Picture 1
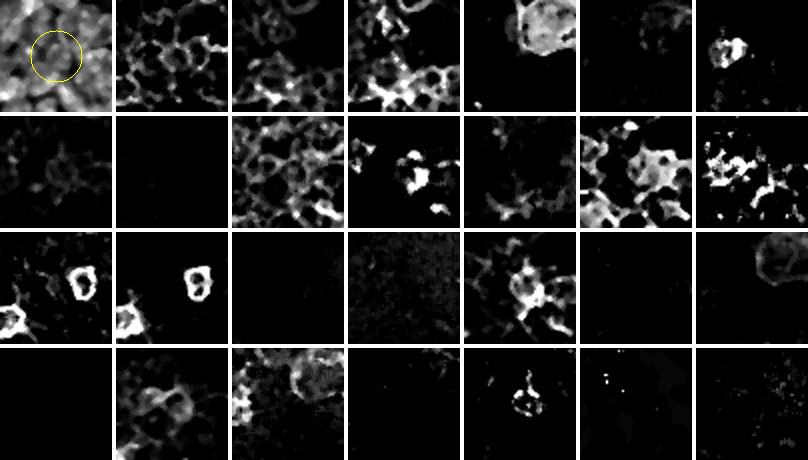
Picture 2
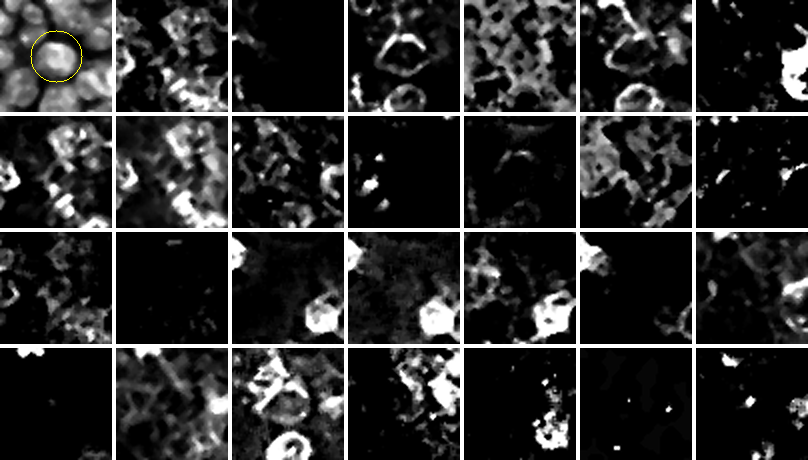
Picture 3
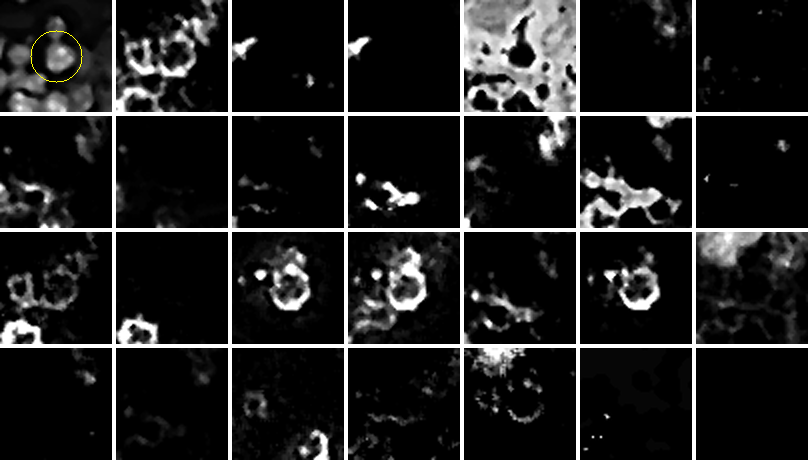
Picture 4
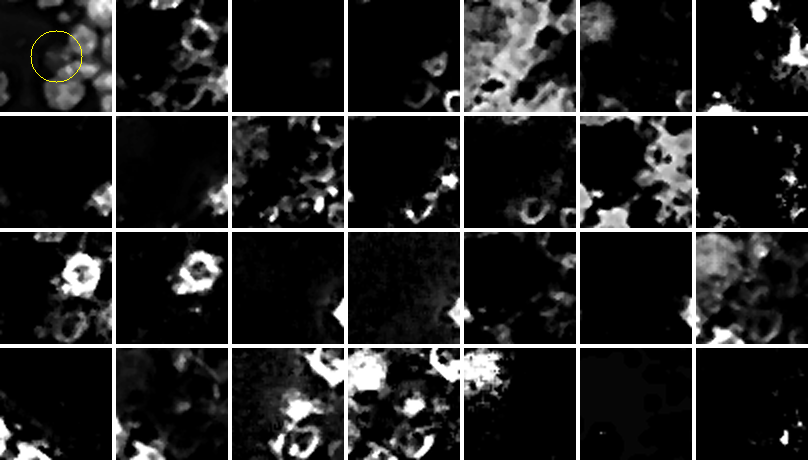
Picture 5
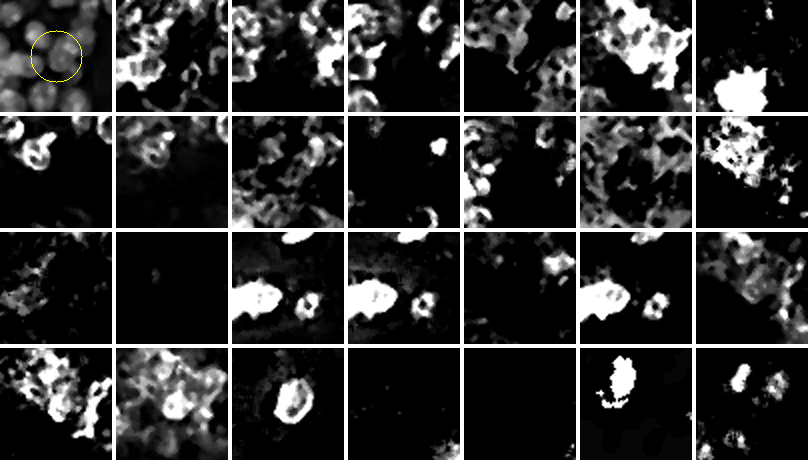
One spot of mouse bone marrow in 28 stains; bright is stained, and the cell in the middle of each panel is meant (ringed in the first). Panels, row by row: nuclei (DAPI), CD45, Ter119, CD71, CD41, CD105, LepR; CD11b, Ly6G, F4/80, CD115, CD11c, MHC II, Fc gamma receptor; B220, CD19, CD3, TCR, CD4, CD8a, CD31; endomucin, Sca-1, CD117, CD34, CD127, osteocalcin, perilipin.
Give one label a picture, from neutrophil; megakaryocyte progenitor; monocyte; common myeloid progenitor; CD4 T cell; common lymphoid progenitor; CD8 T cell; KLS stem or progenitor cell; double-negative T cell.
Picture 1: monocyte
Picture 2: megakaryocyte progenitor
Picture 3: CD8 T cell
Picture 4: megakaryocyte progenitor
Picture 5: KLS stem or progenitor cell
